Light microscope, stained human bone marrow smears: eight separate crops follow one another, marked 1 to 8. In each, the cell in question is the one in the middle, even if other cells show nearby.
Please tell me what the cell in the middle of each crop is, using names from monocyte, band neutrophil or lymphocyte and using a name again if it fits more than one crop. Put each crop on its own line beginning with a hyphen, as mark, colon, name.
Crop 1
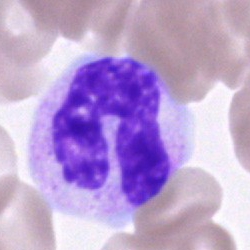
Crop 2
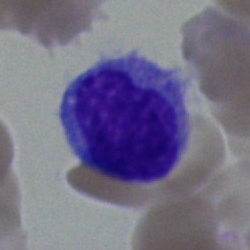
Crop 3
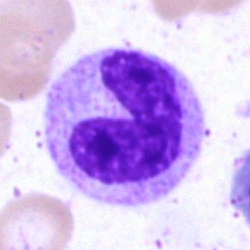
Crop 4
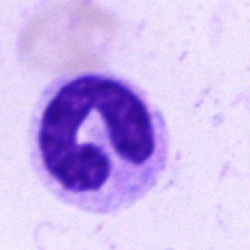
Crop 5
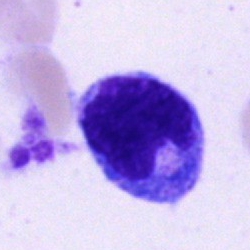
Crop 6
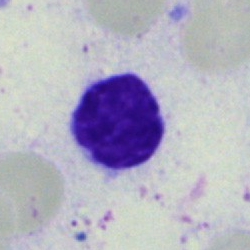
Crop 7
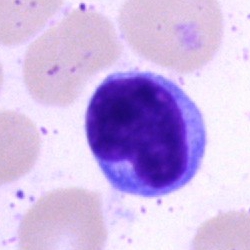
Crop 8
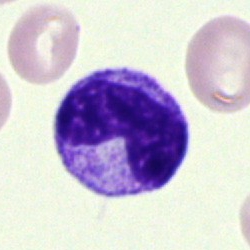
- 1: band neutrophil
- 2: monocyte
- 3: band neutrophil
- 4: band neutrophil
- 5: monocyte
- 6: lymphocyte
- 7: lymphocyte
- 8: band neutrophil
